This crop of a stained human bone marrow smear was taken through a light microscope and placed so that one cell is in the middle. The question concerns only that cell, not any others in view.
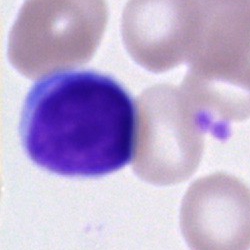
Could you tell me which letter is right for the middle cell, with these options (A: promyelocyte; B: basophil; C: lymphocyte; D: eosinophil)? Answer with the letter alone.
C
